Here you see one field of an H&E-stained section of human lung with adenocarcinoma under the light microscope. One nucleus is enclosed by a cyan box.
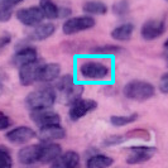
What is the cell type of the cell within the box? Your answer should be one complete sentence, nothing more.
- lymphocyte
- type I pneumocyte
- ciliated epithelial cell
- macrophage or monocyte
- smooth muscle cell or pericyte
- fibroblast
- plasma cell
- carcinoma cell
In this field of tissue, the cell within the box is a lymphocyte.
